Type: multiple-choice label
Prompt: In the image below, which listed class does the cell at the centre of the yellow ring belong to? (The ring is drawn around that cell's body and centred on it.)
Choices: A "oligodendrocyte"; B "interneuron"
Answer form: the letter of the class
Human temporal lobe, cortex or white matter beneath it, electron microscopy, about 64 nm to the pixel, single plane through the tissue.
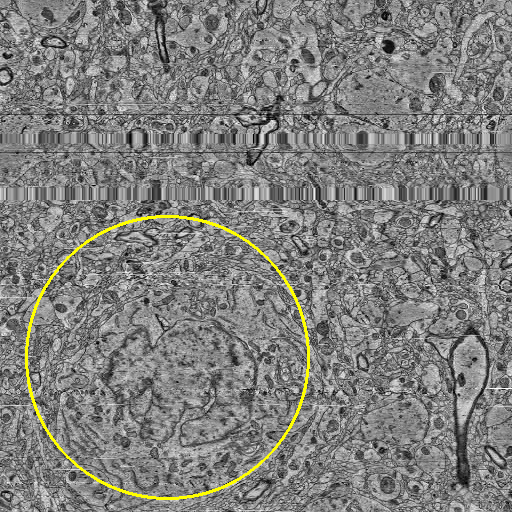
B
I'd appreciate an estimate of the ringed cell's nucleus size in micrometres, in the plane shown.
The ringed cell's nucleus measures approximately 10 by 8 micrometres in this plane.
